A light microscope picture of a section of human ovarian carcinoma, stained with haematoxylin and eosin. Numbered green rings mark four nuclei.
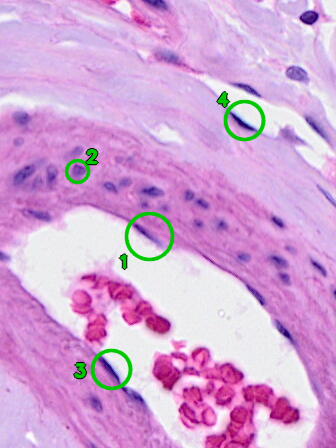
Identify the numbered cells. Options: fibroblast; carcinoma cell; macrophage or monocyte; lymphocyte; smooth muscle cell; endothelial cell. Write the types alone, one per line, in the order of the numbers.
endothelial cell
smooth muscle cell
endothelial cell
endothelial cell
